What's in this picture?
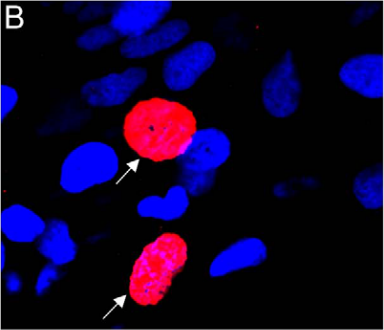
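Scattered oval and bean-shaped nuclei, stained blue, lie spread out on a dark background with wide gaps between them. Two nuclei are bright red, larger and rounder than most blue ones, with a granular texture and small dark spots inside. The red fills the outline of each of these nuclei and does not extend beyond it into the surroundings. One red nucleus lies touching a blue nucleus at its edge.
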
